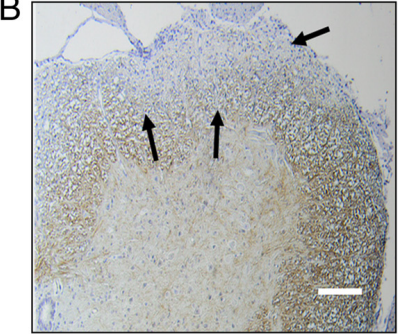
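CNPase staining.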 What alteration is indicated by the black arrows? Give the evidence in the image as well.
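Lesions. The arrows point to pale areas in the outer white matter where the brown stain is lost. Blue-counterstained nuclei crowd these pale areas.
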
